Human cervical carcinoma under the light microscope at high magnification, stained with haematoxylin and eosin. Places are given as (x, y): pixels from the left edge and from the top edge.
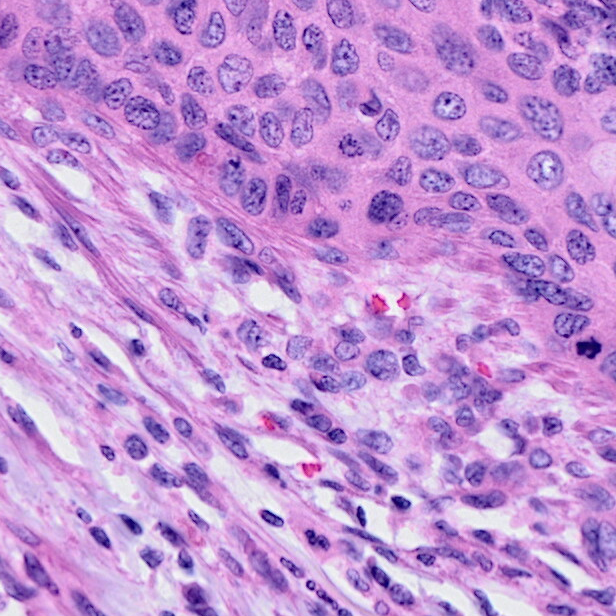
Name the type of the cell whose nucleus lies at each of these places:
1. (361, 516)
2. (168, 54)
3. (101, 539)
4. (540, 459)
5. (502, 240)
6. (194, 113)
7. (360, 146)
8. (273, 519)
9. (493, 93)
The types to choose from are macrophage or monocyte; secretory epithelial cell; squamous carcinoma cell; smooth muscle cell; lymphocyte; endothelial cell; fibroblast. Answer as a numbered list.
1. lymphocyte
2. squamous carcinoma cell
3. lymphocyte
4. endothelial cell
5. squamous carcinoma cell
6. squamous carcinoma cell
7. squamous carcinoma cell
8. lymphocyte
9. squamous carcinoma cell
